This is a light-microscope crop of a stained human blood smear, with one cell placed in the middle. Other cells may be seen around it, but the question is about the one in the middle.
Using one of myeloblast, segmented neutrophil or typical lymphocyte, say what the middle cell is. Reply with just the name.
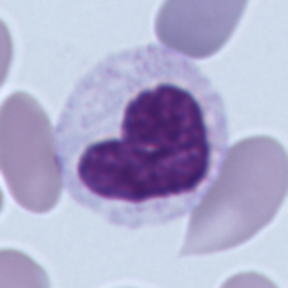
segmented neutrophil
